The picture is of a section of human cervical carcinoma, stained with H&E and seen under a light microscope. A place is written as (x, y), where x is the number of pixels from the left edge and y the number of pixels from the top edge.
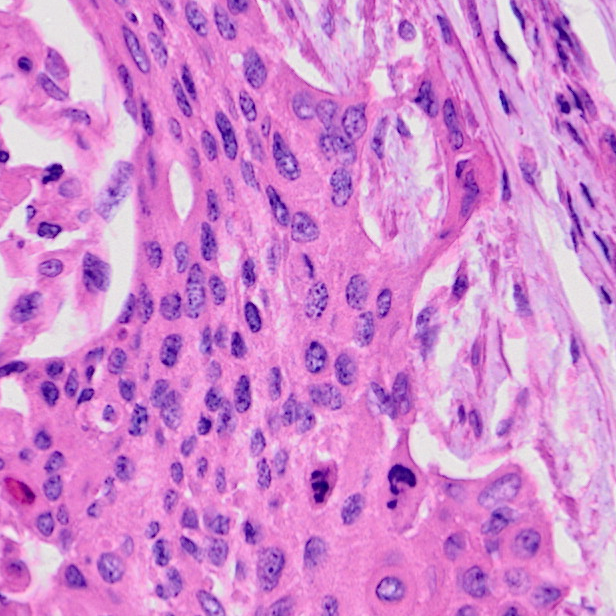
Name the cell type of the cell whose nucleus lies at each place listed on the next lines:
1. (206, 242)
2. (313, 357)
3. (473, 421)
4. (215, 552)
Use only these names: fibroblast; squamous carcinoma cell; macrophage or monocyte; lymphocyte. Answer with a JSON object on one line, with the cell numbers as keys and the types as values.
{"1": "squamous carcinoma cell", "2": "squamous carcinoma cell", "3": "fibroblast", "4": "squamous carcinoma cell"}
